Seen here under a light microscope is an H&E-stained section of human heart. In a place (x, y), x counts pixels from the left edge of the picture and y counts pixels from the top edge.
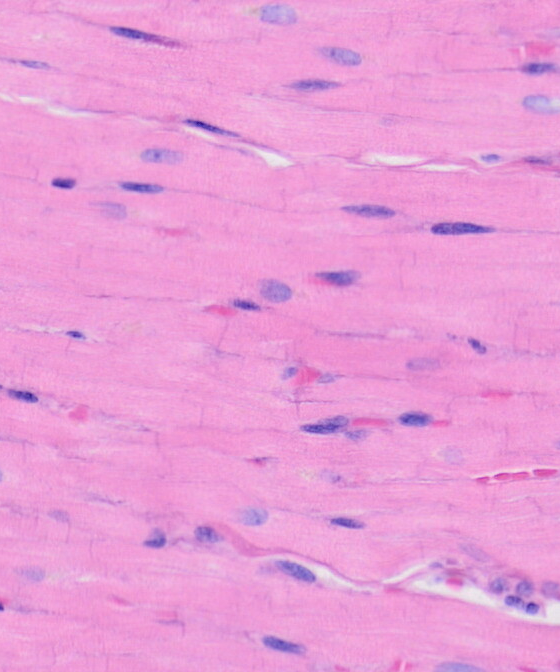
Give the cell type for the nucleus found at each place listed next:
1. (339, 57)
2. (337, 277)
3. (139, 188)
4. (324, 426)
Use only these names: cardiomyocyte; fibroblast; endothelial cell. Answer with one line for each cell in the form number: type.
1: cardiomyocyte
2: endothelial cell
3: endothelial cell
4: endothelial cell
